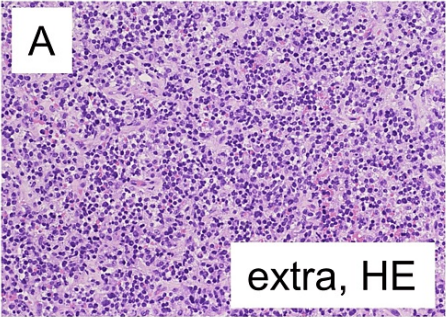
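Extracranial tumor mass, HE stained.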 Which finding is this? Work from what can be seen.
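Densely packed cells fill the whole field. Little stroma lies between the cells.
Conclusion: high cellularity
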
